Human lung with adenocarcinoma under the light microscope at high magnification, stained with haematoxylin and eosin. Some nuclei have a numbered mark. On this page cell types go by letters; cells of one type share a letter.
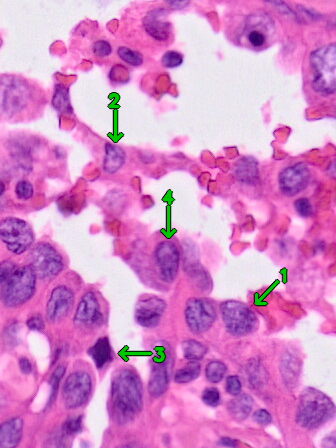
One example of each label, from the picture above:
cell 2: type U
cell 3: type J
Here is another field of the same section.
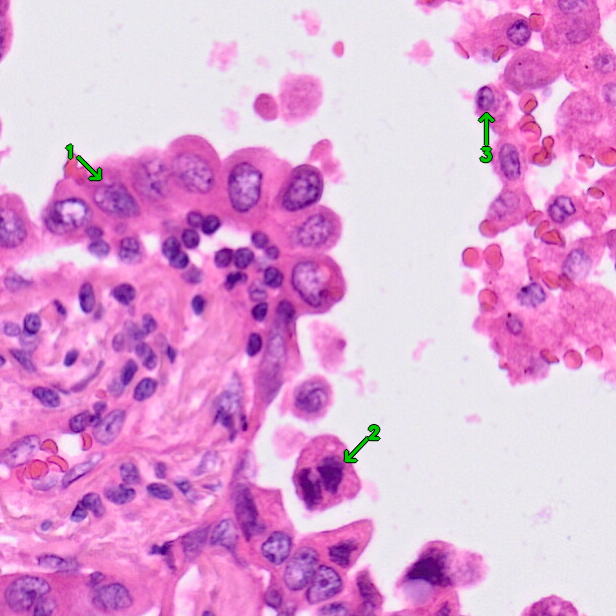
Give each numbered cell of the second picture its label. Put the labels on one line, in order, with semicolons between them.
type J; type J; type U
